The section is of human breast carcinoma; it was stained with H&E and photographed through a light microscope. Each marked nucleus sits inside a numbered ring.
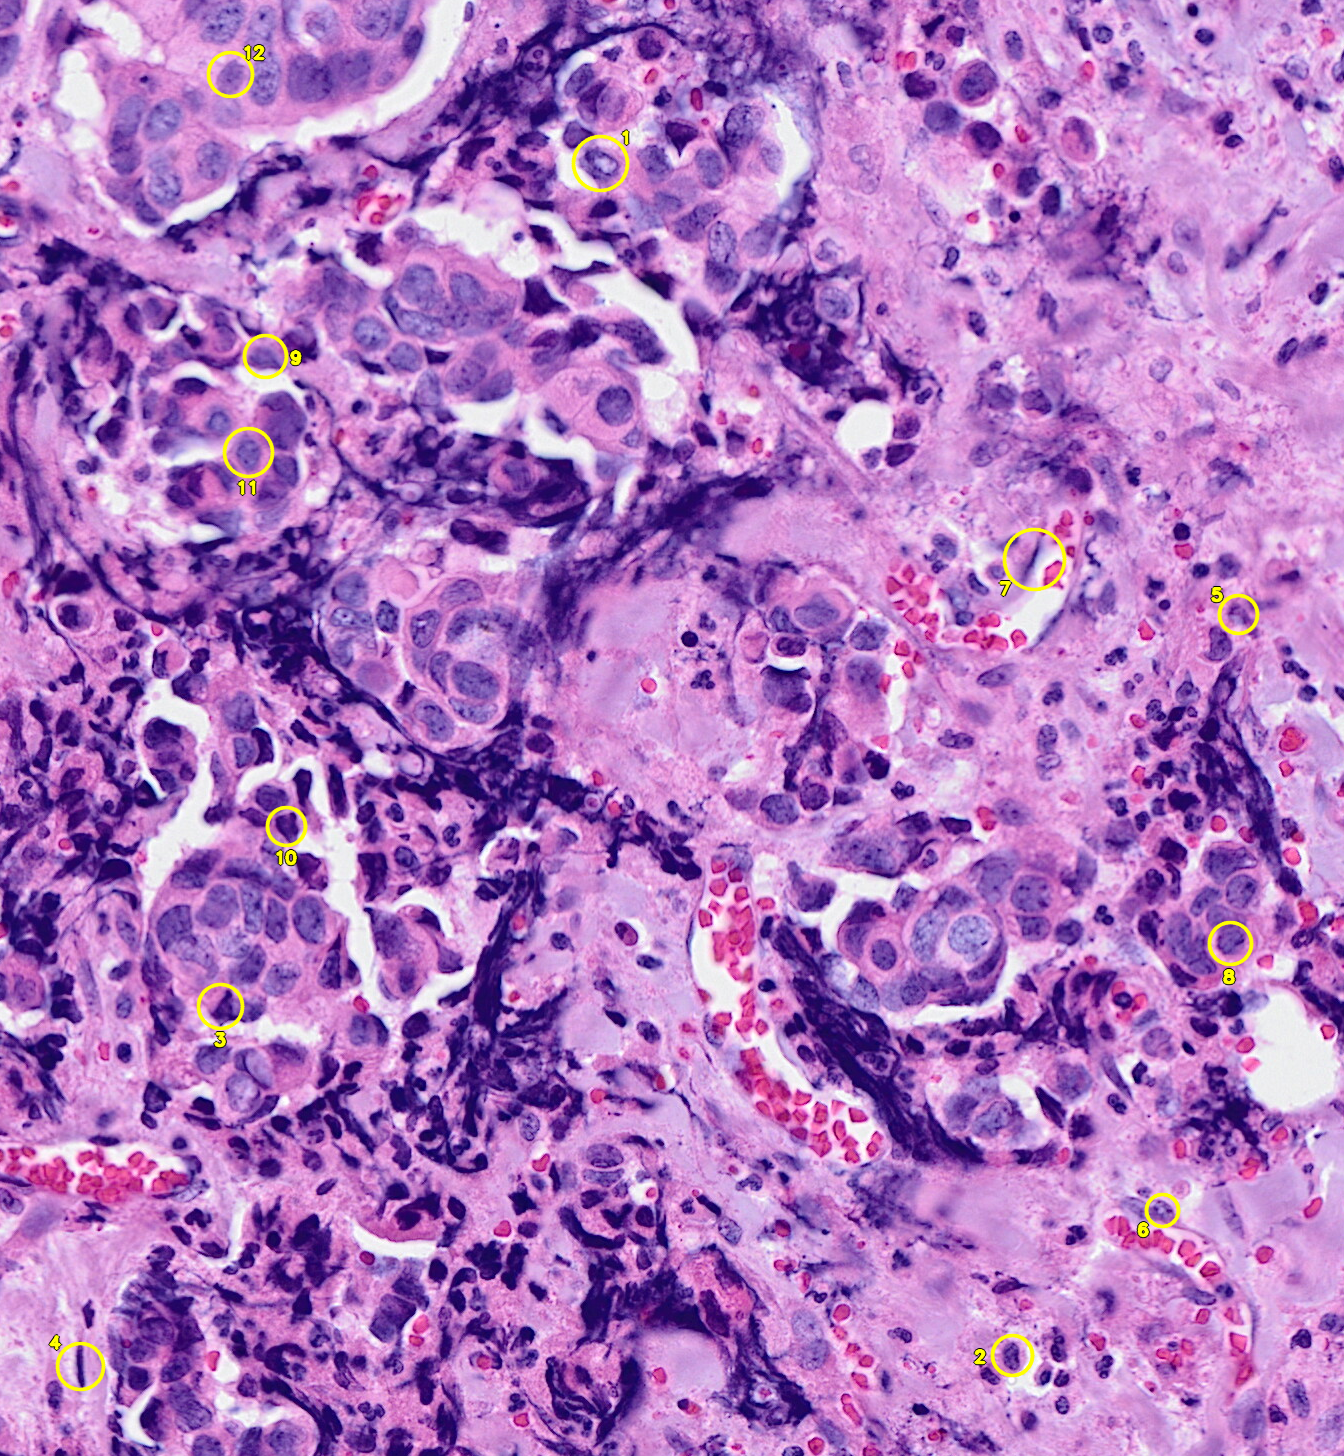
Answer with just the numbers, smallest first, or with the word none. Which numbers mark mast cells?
2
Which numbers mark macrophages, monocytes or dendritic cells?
5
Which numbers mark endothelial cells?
6, 7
